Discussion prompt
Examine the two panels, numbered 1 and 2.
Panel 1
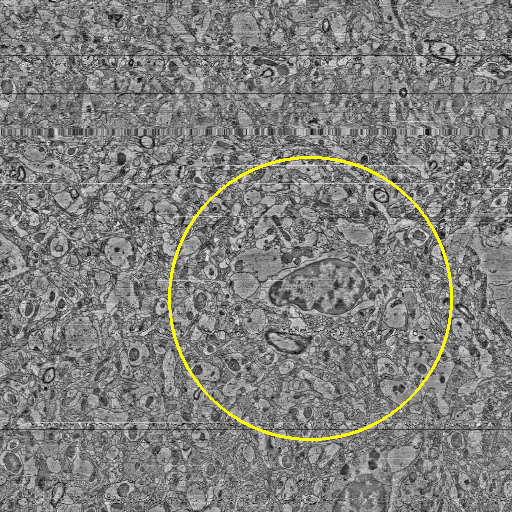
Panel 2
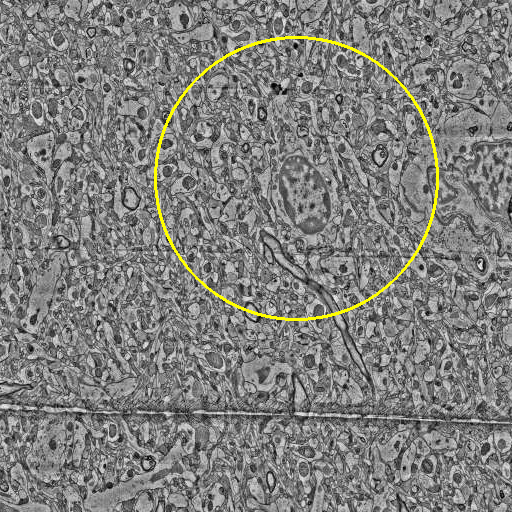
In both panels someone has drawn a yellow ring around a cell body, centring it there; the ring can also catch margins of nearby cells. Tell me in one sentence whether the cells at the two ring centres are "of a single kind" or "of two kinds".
Taken together, the two cells centred in the rings of Panels 1 and 2 are of a single kind.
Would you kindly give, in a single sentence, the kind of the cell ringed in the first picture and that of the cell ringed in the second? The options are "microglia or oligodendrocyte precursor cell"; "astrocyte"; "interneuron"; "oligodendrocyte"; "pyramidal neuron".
The cell at the ring centre is a microglial cell or oligodendrocyte precursor cell in both pictures.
